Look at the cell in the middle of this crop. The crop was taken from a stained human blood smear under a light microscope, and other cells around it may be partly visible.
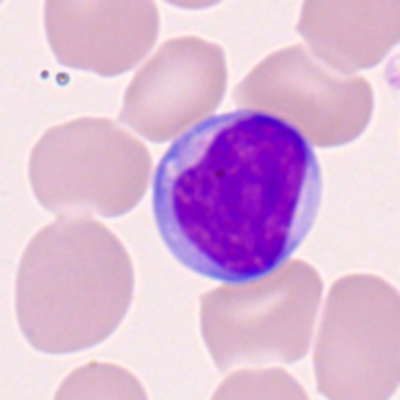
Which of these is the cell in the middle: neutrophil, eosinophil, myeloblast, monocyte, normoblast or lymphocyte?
lymphocyte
